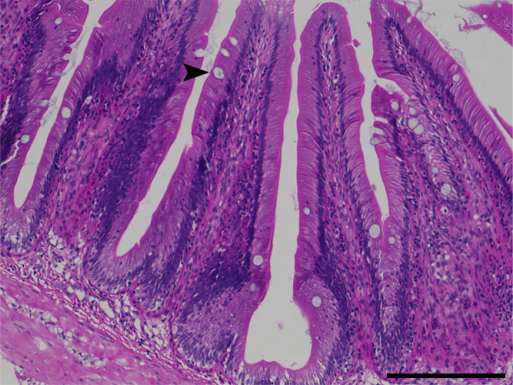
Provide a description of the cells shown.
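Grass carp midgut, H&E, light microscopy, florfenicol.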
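Only a few round, clear goblet cells appear within the epithelium, one marked by an arrowhead near the surface of a fold. Parts of the folds stain very densely purple where nuclei crowd together, and the epithelial edges look irregular in places, with some fragments detached into the lumen.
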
